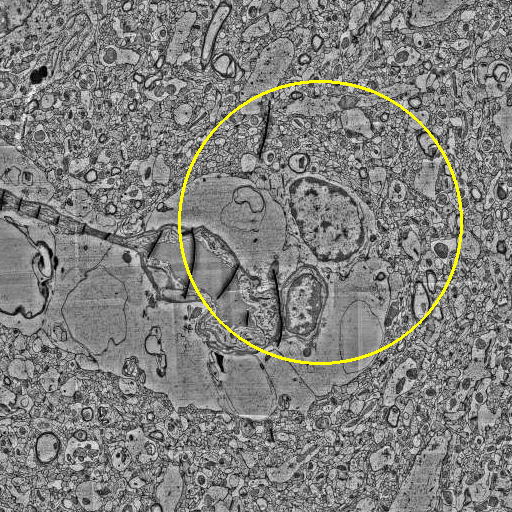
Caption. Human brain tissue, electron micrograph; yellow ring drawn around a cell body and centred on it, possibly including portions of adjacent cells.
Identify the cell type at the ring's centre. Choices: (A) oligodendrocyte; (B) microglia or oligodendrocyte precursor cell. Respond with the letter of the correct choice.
B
